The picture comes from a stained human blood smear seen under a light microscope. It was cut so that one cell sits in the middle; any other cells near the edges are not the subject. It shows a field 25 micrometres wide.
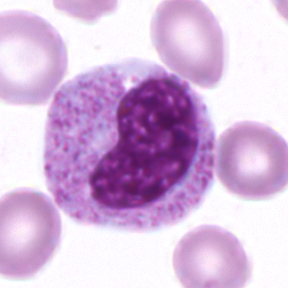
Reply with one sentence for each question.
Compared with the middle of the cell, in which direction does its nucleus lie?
It is shifted toward the right of the cell.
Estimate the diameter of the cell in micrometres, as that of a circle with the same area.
The cell is about 15 micrometres across.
